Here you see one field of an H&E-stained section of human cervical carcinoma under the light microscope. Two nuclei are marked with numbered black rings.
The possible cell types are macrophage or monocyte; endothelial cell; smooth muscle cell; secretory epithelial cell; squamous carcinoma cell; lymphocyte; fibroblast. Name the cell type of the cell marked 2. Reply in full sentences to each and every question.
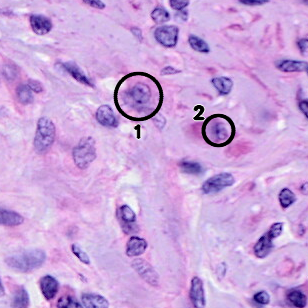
The cell given label 2 is a smooth muscle cell.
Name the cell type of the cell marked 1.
The cell given label 1 is an endothelial cell.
